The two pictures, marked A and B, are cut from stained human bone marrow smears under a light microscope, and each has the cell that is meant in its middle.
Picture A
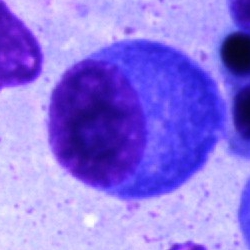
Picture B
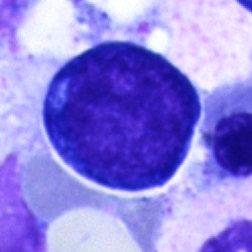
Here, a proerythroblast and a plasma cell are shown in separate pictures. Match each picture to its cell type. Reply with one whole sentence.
It is picture A that shows a plasma cell, and picture B that shows a proerythroblast.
